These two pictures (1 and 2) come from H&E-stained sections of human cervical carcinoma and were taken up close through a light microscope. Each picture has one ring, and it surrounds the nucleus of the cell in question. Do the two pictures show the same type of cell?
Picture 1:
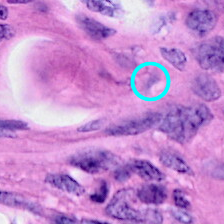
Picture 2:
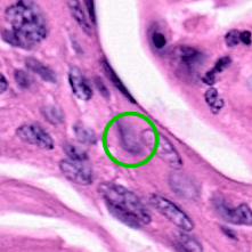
yes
